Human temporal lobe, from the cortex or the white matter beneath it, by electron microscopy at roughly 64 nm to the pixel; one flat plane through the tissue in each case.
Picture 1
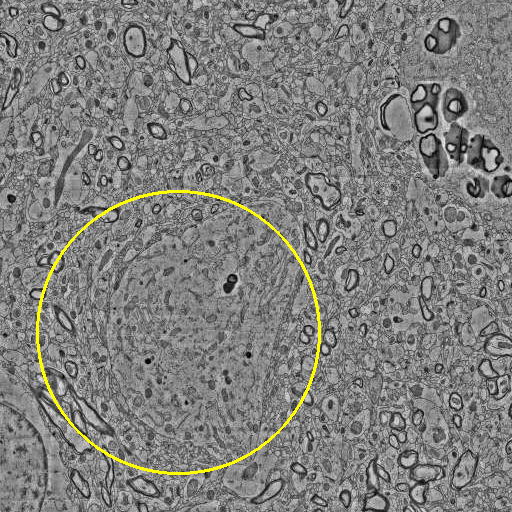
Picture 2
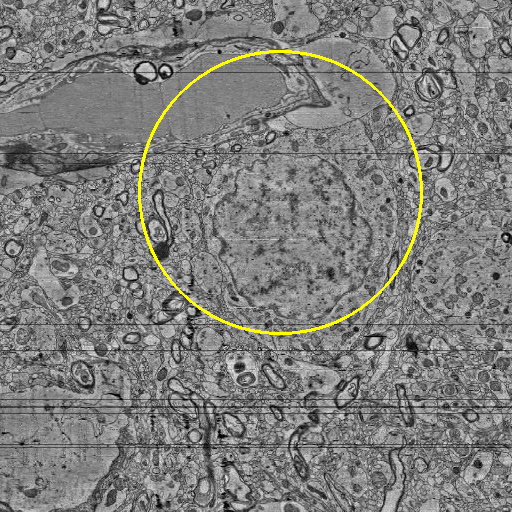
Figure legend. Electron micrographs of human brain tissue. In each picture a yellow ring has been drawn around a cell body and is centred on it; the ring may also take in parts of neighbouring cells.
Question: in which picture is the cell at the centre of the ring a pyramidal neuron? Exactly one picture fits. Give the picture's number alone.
1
